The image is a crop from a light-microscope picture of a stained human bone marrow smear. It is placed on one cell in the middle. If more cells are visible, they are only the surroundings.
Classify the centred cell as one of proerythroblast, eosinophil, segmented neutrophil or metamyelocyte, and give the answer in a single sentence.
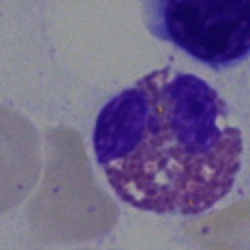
The cell at the middle of the frame should be recorded as an eosinophil.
